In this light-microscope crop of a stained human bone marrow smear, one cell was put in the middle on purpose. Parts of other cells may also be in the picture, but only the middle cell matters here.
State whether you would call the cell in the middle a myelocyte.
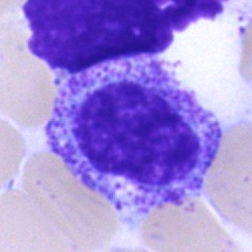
yes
